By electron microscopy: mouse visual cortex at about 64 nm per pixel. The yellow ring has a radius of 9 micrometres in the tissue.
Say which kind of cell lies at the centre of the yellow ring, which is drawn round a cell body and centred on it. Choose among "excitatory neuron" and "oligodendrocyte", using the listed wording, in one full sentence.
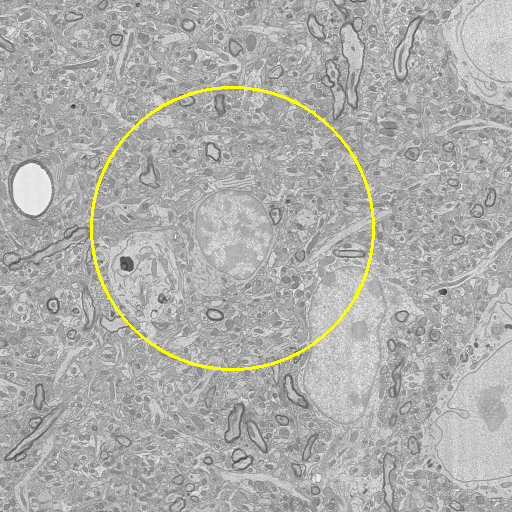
Going by the list, the cell at the yellow ring's centre is an oligodendrocyte.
